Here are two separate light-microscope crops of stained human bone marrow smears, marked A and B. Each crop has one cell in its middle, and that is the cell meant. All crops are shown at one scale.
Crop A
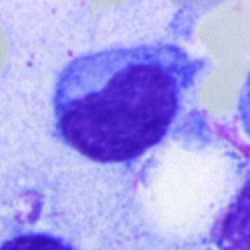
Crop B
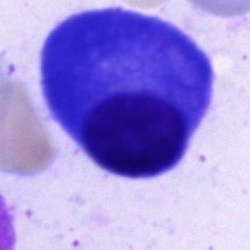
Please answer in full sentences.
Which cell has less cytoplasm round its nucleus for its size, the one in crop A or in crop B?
The nucleus fills more of the cell in crop A than in crop B.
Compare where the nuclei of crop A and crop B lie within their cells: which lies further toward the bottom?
In crop B the nucleus is shifted more toward the bottom.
